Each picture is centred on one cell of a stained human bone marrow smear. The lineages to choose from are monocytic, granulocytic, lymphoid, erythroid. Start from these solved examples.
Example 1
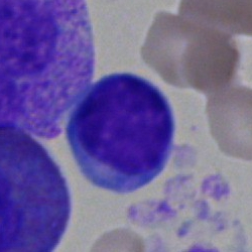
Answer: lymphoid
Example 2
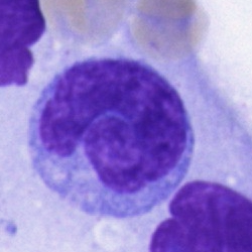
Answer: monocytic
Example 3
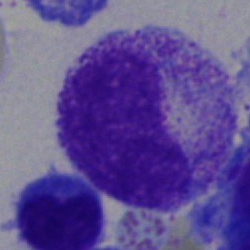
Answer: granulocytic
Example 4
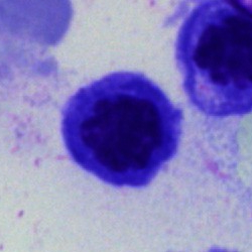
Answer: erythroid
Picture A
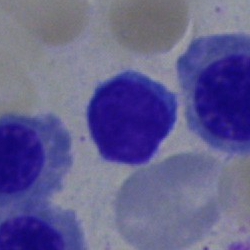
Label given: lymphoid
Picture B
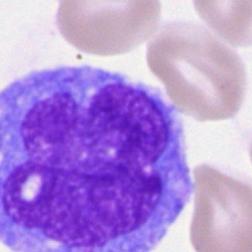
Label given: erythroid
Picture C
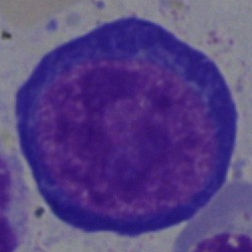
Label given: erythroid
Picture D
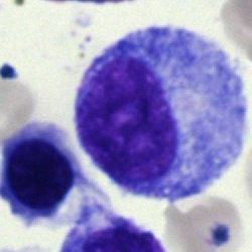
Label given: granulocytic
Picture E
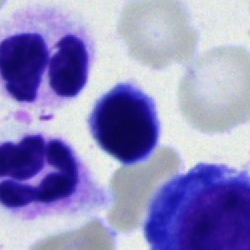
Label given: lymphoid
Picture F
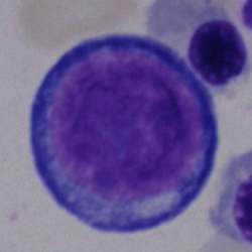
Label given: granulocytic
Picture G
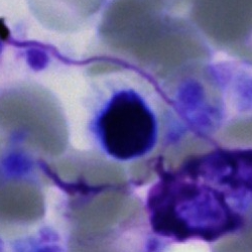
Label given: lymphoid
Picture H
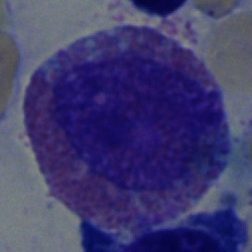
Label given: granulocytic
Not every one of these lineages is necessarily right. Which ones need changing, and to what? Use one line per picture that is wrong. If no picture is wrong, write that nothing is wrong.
Wrong: B (erythroid); correct: monocytic
Wrong: F (granulocytic); correct: erythroid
